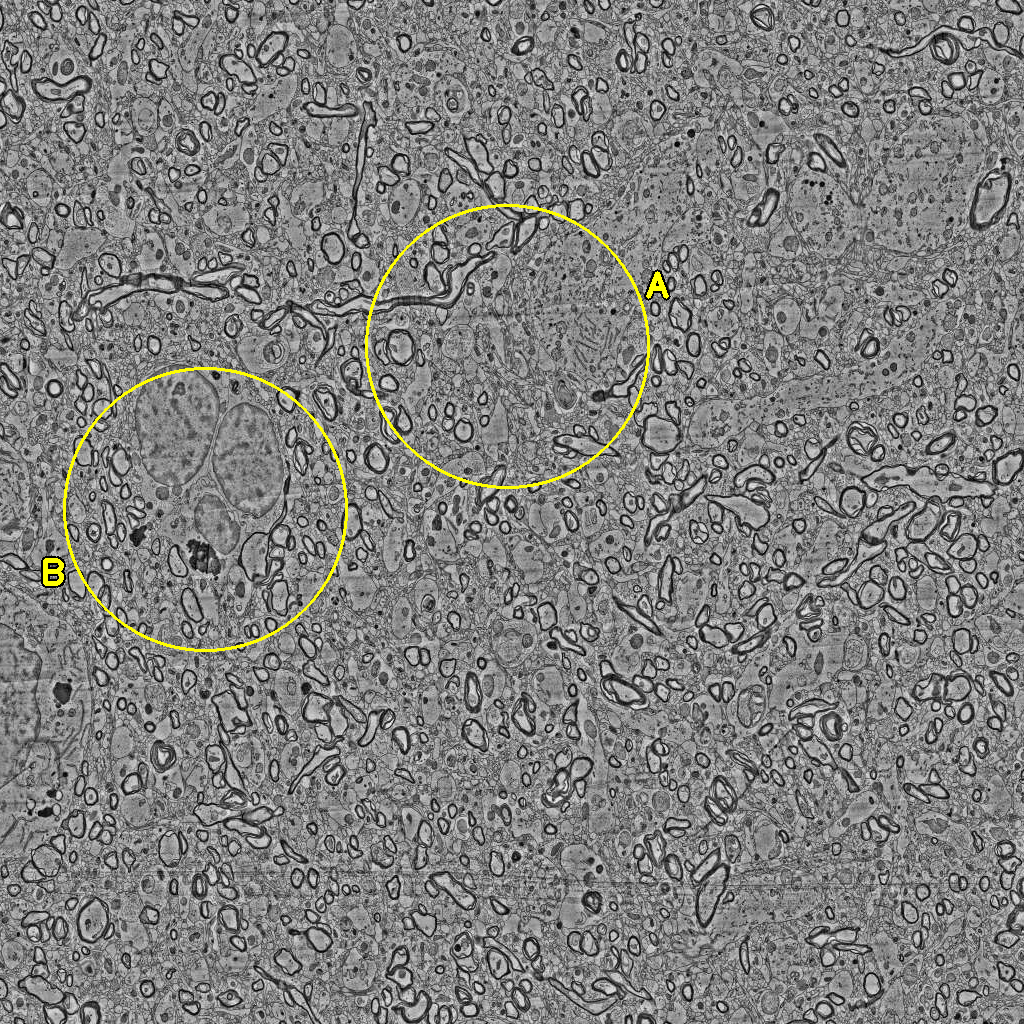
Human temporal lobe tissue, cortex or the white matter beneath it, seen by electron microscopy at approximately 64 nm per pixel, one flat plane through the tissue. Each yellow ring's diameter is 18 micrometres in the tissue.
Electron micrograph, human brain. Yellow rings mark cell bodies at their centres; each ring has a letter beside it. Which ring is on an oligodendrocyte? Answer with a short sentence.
Ring B is centred on it.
